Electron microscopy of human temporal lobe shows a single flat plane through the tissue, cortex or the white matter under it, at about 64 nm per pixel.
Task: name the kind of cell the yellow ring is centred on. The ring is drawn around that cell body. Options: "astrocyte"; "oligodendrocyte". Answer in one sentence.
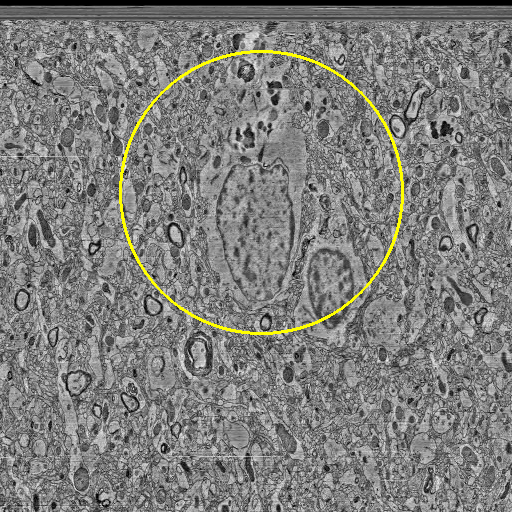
This cell body belongs to an astrocyte.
